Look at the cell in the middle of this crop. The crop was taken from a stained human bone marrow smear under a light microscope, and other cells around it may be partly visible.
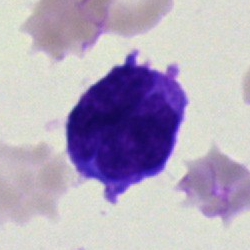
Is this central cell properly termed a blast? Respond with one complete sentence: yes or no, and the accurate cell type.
Yes, the one cell at the centre is a blast.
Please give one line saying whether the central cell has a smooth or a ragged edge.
The margin of this cell is irregular, showing raggedness or projections instead of smoothness.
